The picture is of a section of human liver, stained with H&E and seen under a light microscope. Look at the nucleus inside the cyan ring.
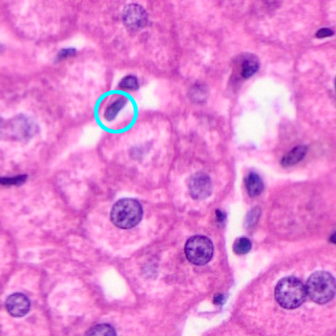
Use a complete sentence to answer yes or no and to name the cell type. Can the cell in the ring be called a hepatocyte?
No, scored properly, the cell in the ring is a lymphocyte rather than a hepatocyte.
